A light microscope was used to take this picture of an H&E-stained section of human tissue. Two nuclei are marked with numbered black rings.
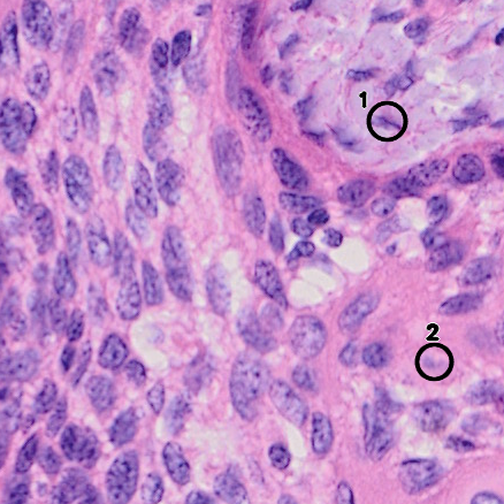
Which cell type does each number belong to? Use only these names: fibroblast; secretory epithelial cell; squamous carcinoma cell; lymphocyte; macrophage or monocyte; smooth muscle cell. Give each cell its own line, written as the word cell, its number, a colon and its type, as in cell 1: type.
cell 1: fibroblast
cell 2: squamous carcinoma cell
